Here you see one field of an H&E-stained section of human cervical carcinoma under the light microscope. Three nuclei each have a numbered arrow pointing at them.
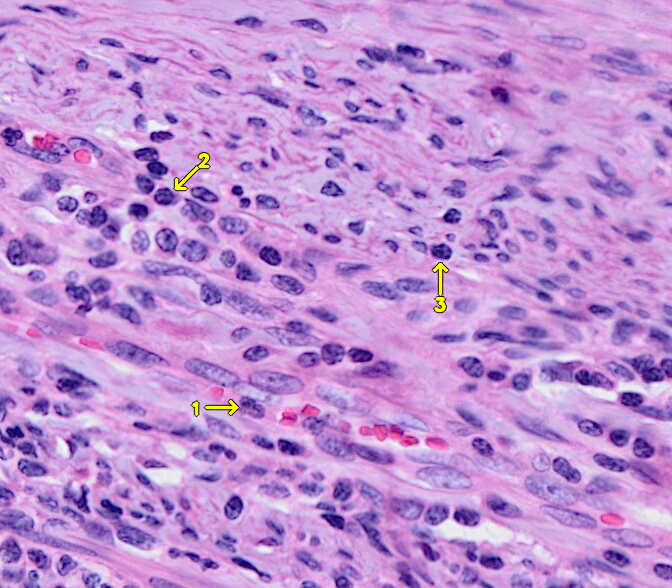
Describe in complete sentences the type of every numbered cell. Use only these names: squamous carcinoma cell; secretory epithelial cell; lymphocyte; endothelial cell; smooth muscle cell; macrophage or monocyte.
Cell 1 is an endothelial cell. Cells 2 and 3 are lymphocytes.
